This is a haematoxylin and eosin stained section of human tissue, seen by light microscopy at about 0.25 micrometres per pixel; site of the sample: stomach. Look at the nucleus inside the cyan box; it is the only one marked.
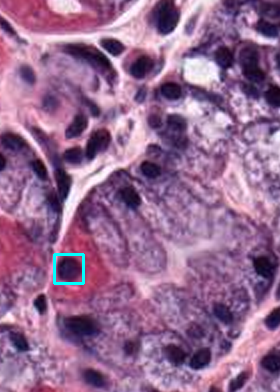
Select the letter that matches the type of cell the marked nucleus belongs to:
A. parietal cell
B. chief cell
A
